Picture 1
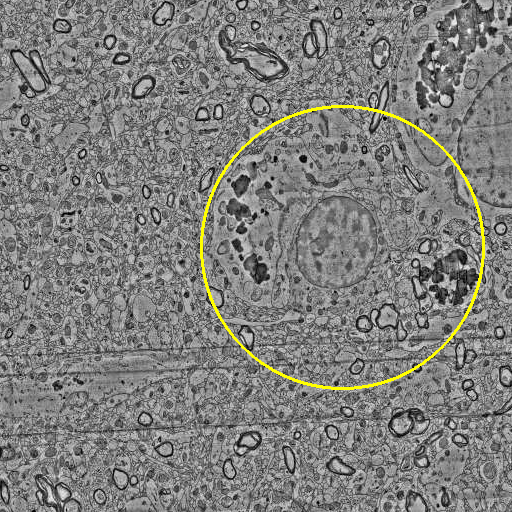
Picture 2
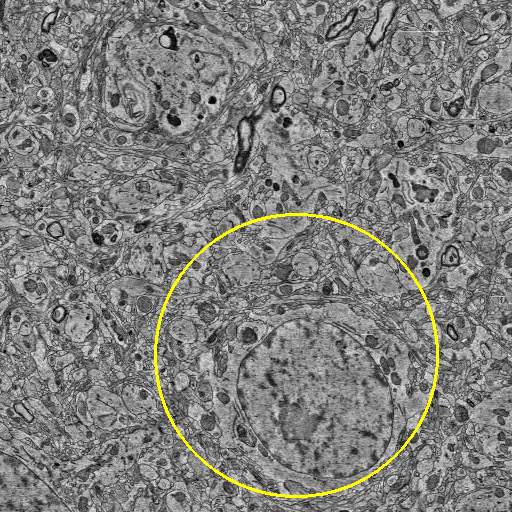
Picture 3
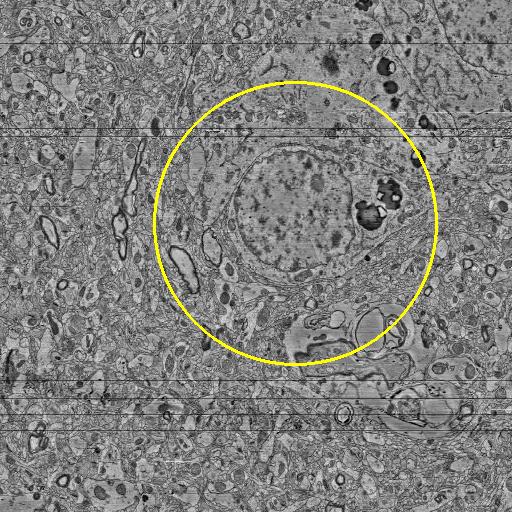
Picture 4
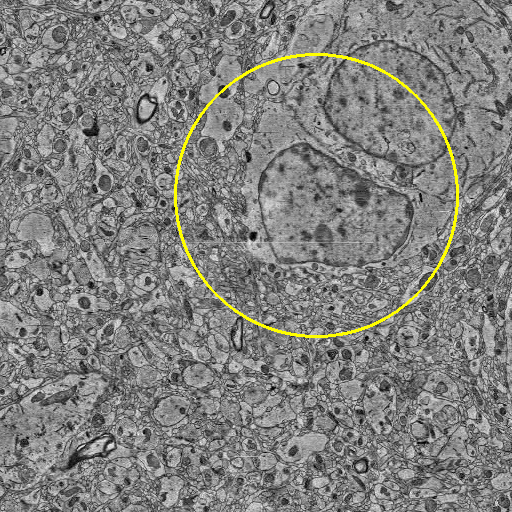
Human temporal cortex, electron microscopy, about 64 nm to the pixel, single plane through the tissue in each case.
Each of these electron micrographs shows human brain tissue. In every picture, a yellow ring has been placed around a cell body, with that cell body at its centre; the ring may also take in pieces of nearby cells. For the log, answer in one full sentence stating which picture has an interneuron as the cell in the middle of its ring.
In picture 3, the cell at the centre of the yellow ring is the requested one.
